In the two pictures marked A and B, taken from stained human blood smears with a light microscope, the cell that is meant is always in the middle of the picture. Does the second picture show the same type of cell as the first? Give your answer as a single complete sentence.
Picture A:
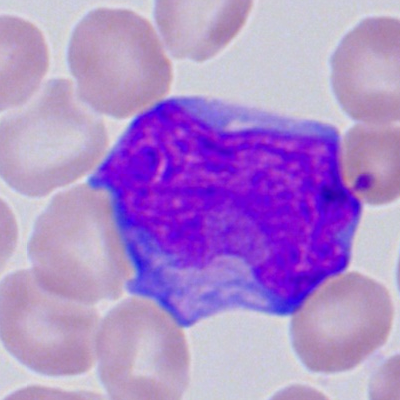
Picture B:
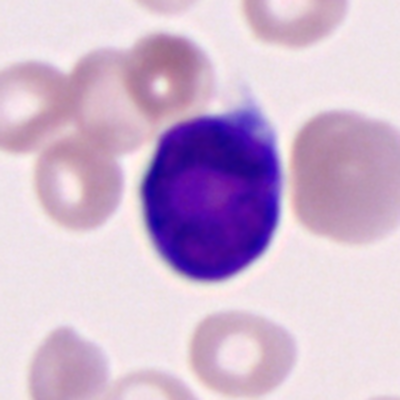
Yes, both cells are myeloblasts.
